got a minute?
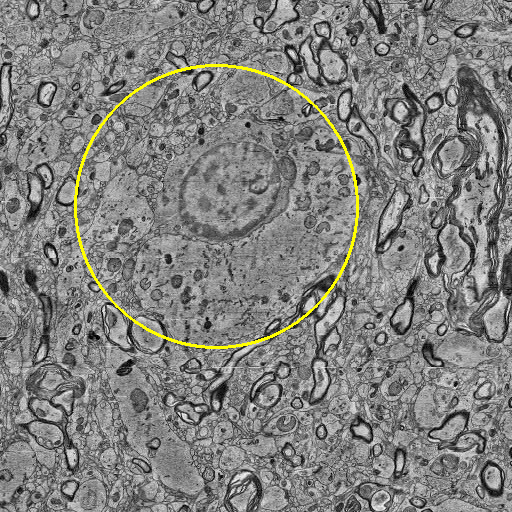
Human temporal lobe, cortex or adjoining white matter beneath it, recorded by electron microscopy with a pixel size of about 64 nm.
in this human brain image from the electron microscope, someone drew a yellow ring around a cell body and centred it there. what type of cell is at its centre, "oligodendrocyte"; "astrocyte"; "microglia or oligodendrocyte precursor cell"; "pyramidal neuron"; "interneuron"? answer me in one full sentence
It's an oligodendrocyte at the middle of that yellow ring in the shot.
